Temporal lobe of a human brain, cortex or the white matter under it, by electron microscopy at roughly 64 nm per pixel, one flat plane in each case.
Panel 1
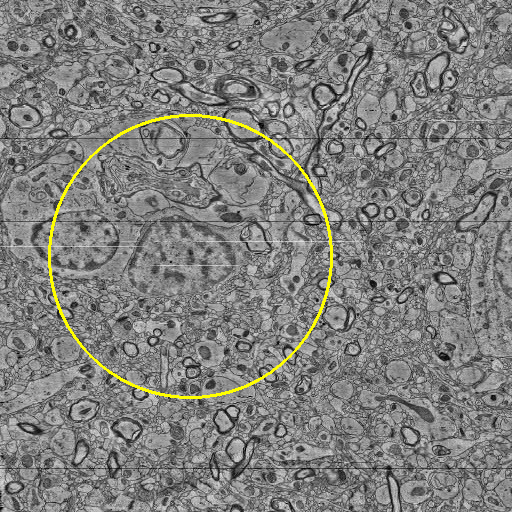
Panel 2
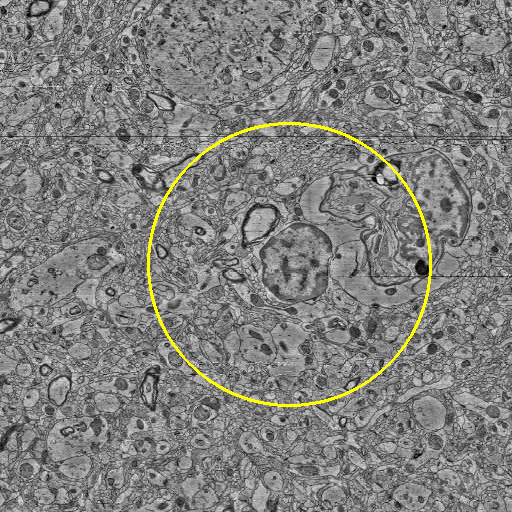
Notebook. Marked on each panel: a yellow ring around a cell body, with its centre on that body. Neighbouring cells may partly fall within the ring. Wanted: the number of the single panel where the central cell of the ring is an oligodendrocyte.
1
